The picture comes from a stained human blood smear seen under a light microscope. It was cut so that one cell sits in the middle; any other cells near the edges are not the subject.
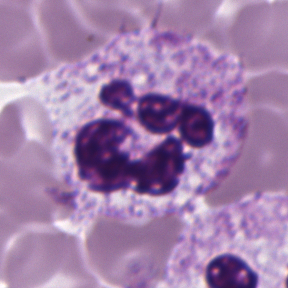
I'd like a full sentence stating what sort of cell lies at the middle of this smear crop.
Regarding the central cell, it is a segmented neutrophil.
